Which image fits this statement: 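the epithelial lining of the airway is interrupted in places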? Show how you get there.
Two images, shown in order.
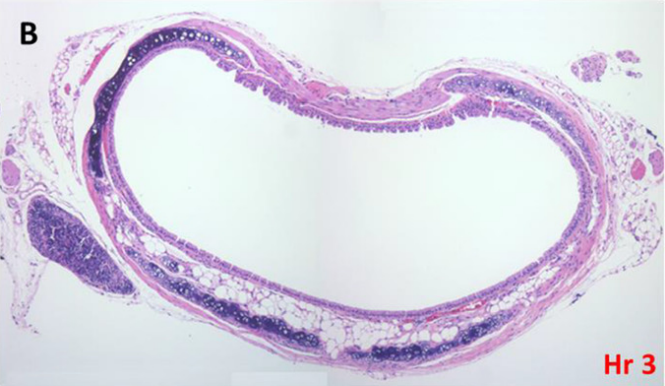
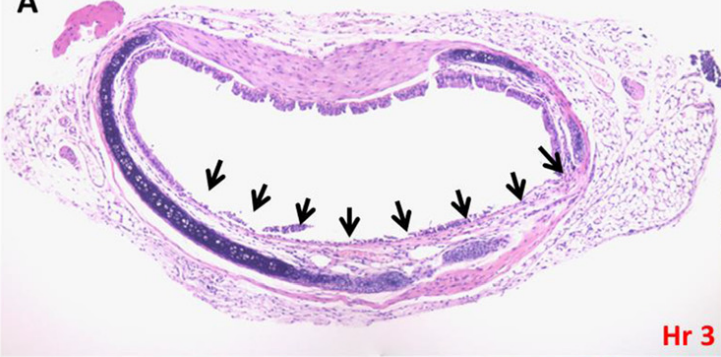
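The second image. First image: a continuous, even epithelial layer lines the whole lumen. Second image: along the lower wall the lining is thin, broken, with fragments lifted into the lumen.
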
